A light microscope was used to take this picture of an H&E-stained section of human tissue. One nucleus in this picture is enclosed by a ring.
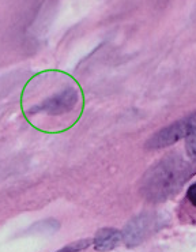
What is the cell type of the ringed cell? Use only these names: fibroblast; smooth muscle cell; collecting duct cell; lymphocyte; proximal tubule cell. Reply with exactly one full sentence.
The cell type of the ringed cell is that of a fibroblast.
